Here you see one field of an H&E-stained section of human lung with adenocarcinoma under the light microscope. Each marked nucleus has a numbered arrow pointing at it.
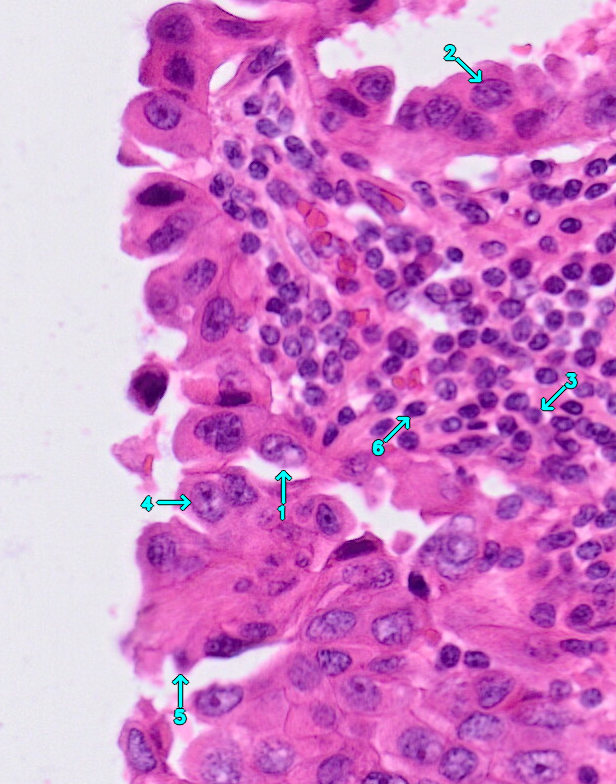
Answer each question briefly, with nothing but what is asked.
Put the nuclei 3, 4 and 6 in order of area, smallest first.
3, 6, 4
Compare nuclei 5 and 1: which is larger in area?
1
